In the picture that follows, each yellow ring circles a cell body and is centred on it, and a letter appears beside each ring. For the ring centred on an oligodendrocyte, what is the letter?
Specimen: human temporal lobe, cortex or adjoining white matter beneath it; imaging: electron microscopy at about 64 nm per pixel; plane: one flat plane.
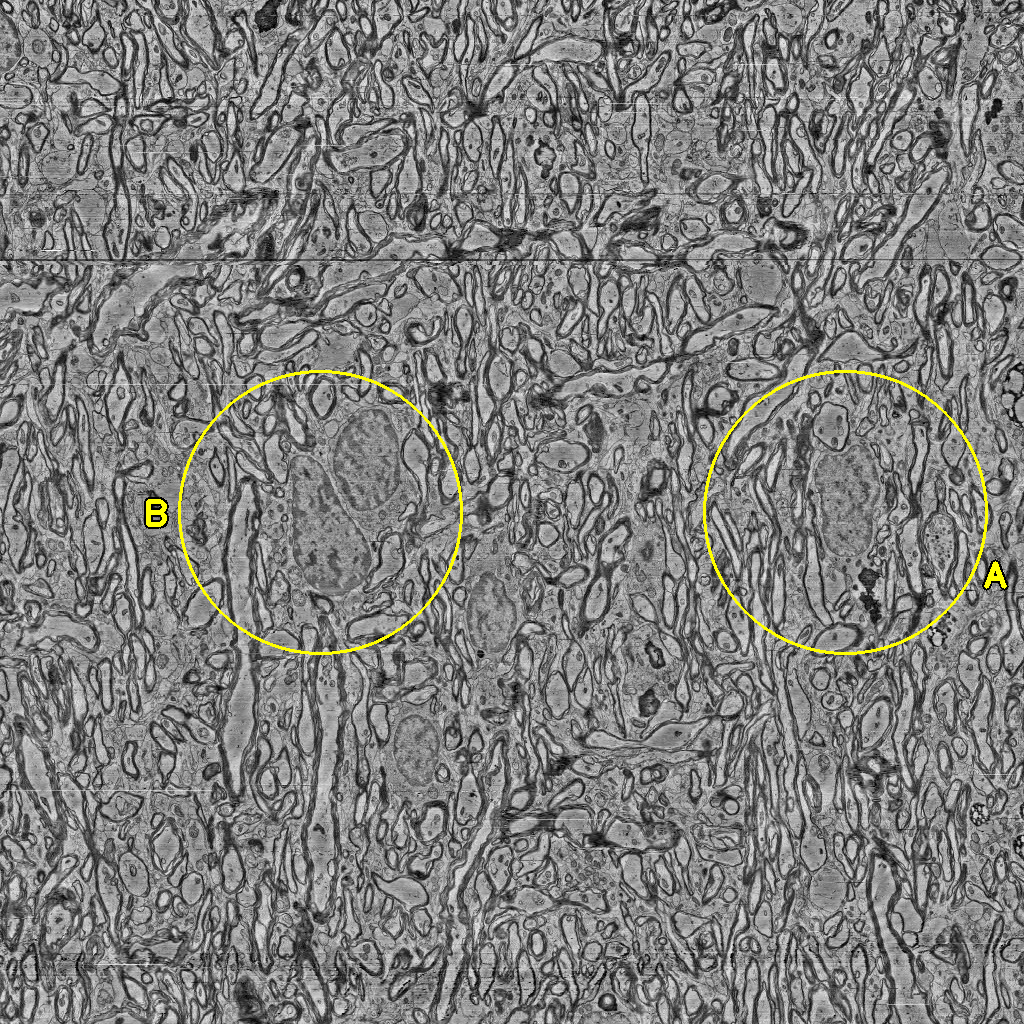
A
